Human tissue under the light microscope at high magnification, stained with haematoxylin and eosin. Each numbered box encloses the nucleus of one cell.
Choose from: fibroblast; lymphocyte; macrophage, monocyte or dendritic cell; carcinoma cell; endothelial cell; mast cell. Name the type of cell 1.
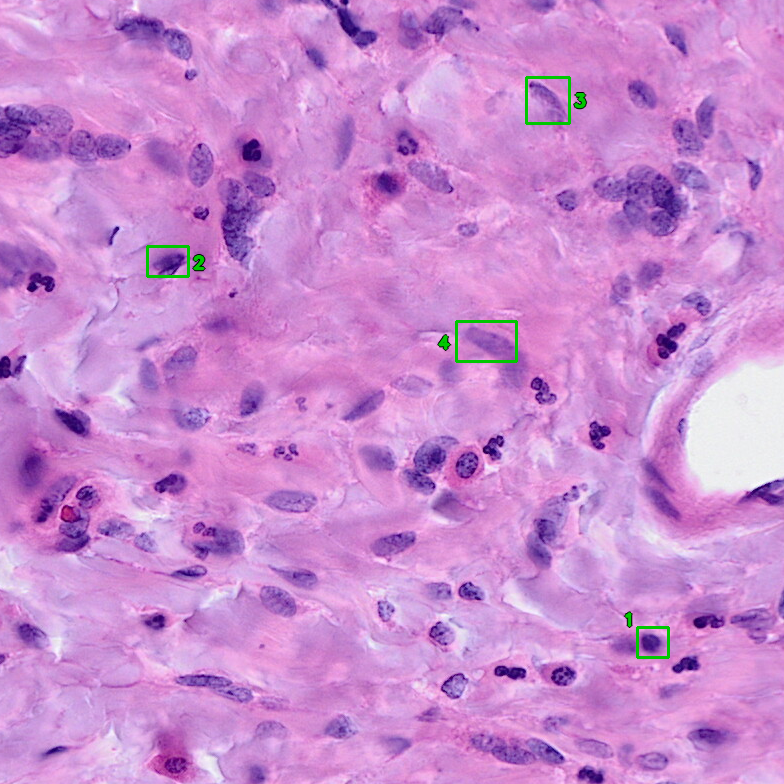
lymphocyte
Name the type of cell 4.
fibroblast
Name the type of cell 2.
fibroblast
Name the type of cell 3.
fibroblast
